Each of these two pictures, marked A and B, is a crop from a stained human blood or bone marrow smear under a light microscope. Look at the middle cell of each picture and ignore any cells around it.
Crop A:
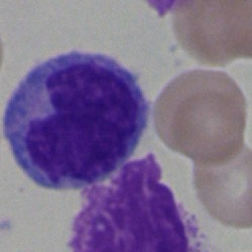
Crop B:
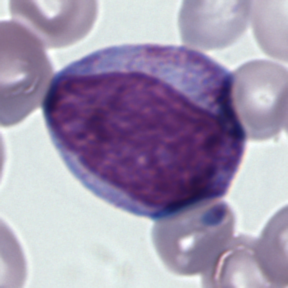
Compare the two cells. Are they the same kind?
no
